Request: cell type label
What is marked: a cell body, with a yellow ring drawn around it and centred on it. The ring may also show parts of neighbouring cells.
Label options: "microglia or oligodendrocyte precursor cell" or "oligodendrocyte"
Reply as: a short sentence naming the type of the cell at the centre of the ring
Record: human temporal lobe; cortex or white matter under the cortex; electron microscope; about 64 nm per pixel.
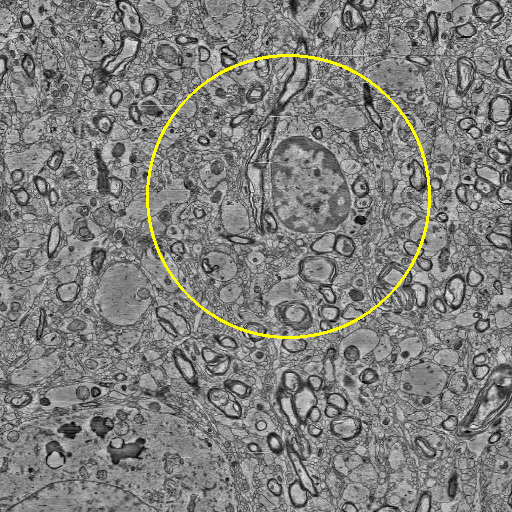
The marked cell body is that of a microglial cell or oligodendrocyte precursor cell.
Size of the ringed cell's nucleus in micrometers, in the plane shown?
Approximately 7 micrometres long and 5 micrometres wide, in this plane.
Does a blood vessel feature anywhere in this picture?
No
